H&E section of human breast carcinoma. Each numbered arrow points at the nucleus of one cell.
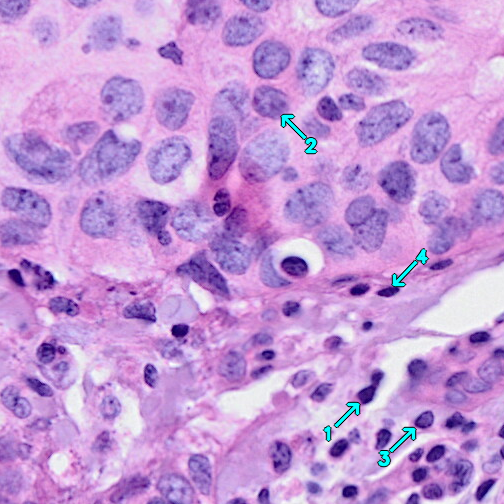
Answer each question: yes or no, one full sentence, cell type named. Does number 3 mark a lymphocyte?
Yes, the cell with the mark numbered 3 is a lymphocyte.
